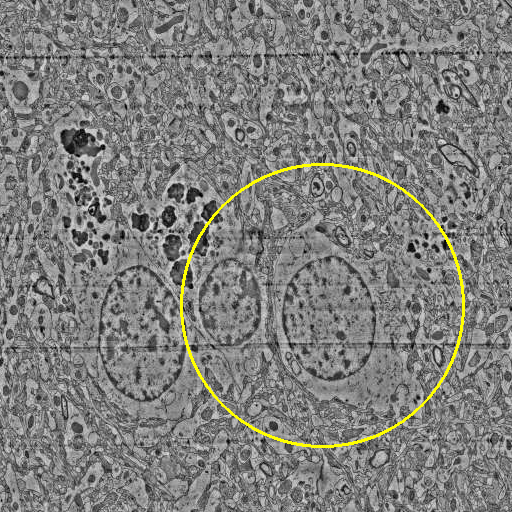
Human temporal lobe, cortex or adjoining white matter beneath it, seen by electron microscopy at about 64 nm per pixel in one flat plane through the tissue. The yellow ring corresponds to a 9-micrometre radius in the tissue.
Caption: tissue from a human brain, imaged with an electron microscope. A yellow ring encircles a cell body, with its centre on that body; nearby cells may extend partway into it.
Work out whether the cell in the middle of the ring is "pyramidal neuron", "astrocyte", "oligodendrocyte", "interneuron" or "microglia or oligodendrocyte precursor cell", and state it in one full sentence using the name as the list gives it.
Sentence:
In the picture, the cell that the yellow ring surrounds at its centre is an astrocyte.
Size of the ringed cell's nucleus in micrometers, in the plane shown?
In this plane, the nucleus of the cell at the centre of the ring measures about 8 by 6 micrometres.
